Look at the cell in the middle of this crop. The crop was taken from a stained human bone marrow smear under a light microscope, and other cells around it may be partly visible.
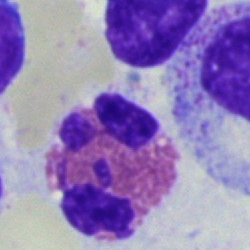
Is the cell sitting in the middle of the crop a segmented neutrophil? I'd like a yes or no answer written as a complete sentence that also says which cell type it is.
No, the cell in the middle is recognised as an eosinophil rather than a segmented neutrophil.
